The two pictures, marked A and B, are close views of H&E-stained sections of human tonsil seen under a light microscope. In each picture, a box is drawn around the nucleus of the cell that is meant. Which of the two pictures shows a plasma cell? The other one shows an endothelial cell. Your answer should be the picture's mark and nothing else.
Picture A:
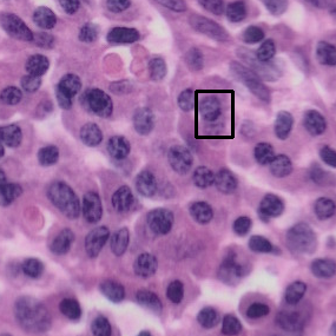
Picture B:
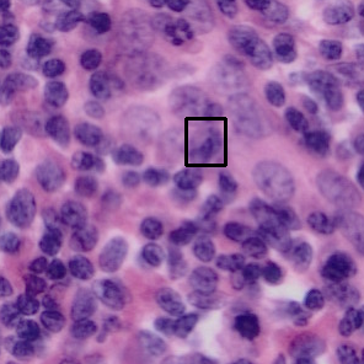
A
